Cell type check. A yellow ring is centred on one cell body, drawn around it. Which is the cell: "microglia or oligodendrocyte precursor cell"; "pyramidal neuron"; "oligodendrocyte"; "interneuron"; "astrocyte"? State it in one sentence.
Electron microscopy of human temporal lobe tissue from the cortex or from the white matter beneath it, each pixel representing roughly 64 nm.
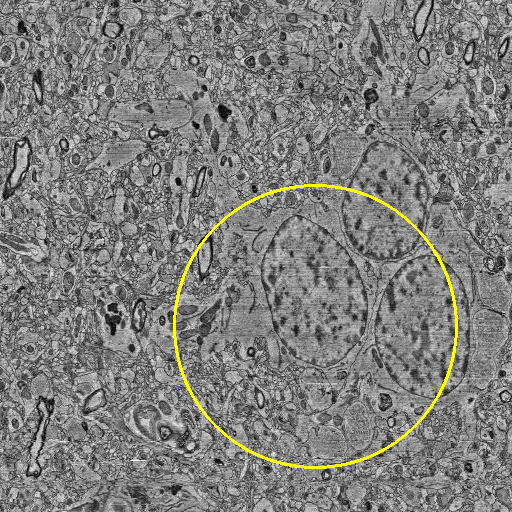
The cell body at the ring's centre belongs to an astrocyte.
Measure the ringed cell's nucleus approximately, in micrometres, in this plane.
In this plane the nucleus is clearly longer than it is wide: roughly 10 by 6 micrometres.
